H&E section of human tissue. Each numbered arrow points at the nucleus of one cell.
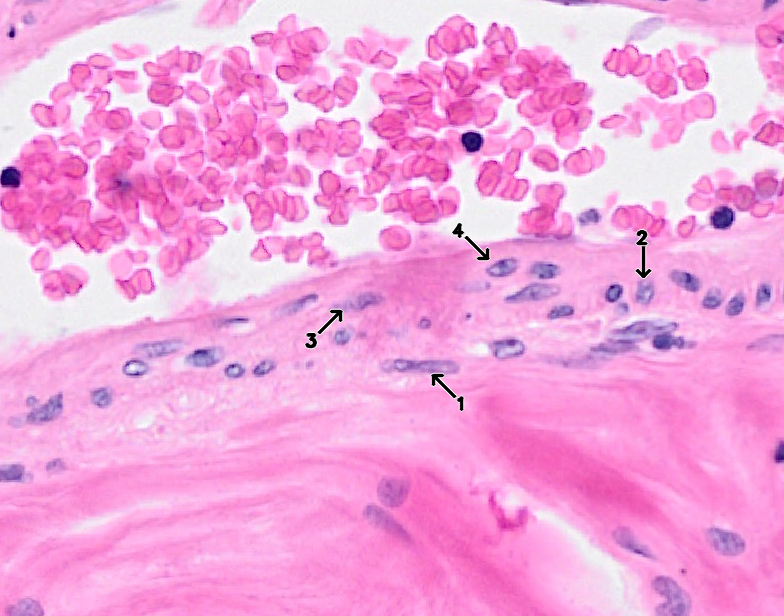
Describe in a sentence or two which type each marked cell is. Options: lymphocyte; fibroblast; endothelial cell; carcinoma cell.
Cell 1 is a fibroblast. Cells 2, 3 and 4 are endothelial cells.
